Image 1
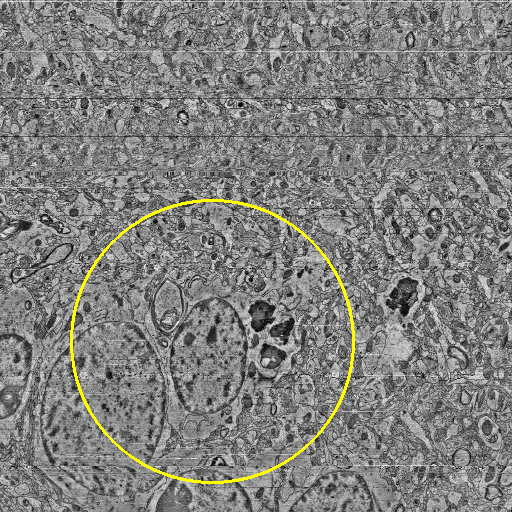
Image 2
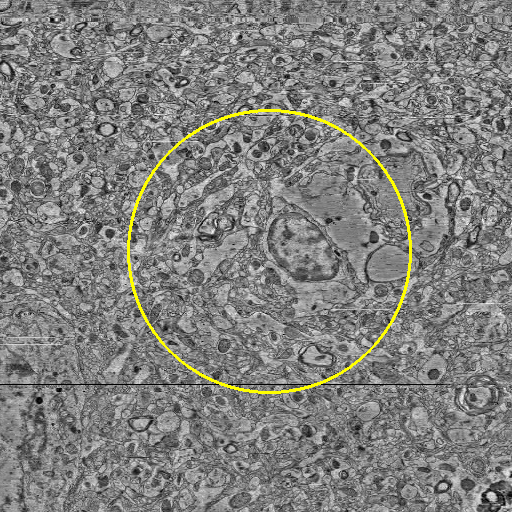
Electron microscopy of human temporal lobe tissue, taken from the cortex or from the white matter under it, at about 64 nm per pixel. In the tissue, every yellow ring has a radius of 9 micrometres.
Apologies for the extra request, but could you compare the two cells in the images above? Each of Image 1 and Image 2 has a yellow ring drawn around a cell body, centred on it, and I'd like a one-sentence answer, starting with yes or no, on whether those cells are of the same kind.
No, the two cells are of two kinds.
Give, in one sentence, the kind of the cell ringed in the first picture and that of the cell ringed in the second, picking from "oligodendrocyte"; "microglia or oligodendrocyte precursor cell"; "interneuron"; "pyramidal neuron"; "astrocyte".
For the first picture it is an astrocyte; for the second, a microglial cell or oligodendrocyte precursor cell.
